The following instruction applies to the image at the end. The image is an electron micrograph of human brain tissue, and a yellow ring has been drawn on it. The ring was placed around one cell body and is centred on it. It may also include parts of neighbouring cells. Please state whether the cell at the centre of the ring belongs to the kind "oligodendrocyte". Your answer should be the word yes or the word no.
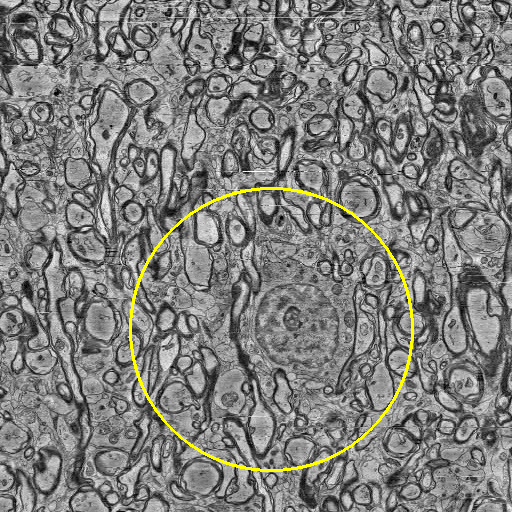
yes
